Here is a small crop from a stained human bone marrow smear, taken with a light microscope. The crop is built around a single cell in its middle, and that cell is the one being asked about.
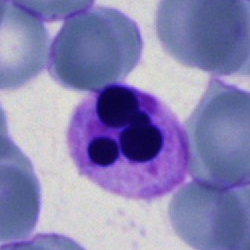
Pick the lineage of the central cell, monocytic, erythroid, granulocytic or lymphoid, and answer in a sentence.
The centered cell should be recorded as belonging to the granulocytic lineage.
